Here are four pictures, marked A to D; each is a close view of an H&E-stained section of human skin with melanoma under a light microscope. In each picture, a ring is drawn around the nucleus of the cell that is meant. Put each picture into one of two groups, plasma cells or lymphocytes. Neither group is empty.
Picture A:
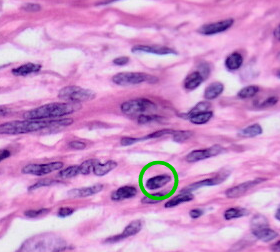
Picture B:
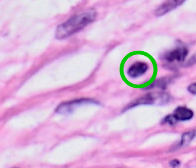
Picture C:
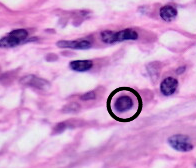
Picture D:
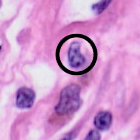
A: lymphocyte
B: lymphocyte
C: plasma cell
D: lymphocyte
